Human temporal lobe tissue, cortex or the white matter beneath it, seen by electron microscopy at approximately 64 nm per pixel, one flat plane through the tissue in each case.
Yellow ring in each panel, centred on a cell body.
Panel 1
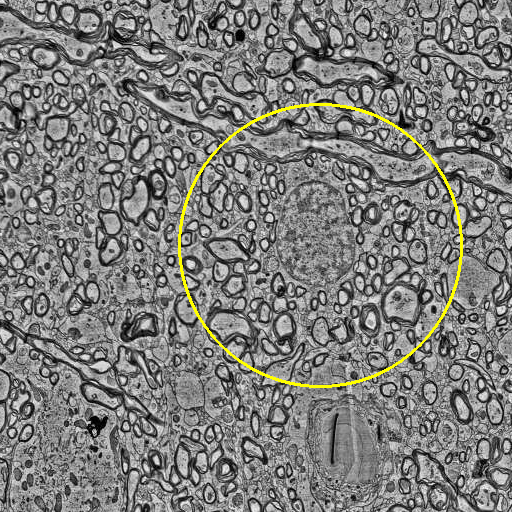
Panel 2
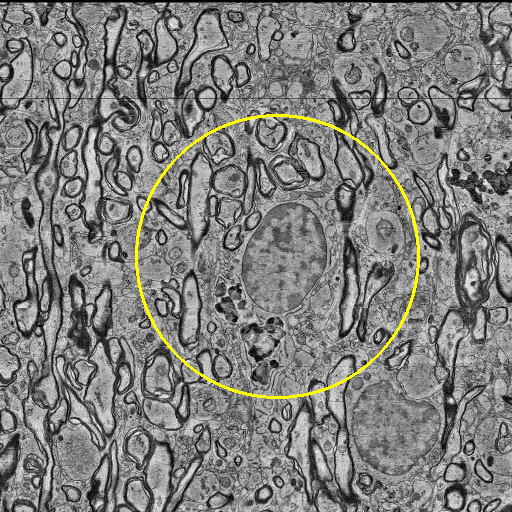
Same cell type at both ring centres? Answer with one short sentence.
No, the two cells are of two types.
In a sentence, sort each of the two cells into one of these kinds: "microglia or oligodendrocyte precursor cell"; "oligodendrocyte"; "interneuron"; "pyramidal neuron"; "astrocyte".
The first of the two cells is an oligodendrocyte, and the second is a microglial cell or oligodendrocyte precursor cell.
